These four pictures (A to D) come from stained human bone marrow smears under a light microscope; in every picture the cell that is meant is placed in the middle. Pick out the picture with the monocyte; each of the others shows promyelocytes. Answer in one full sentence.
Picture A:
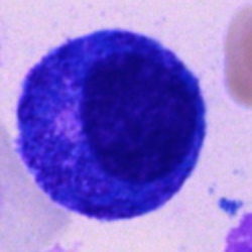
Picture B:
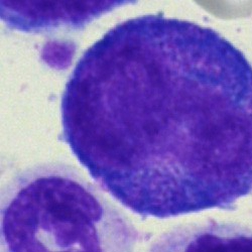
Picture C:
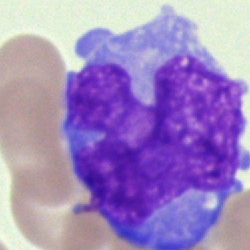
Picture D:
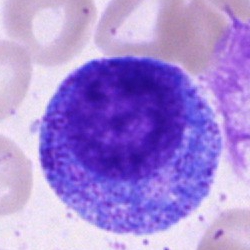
Picture C shows the monocyte.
